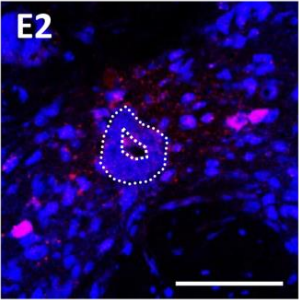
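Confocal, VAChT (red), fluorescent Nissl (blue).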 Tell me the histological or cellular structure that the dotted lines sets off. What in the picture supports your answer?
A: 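Central canal. The inner dotted line encloses a small lumen. A band of tightly packed blue cells surrounds it within the outer dotted line.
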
